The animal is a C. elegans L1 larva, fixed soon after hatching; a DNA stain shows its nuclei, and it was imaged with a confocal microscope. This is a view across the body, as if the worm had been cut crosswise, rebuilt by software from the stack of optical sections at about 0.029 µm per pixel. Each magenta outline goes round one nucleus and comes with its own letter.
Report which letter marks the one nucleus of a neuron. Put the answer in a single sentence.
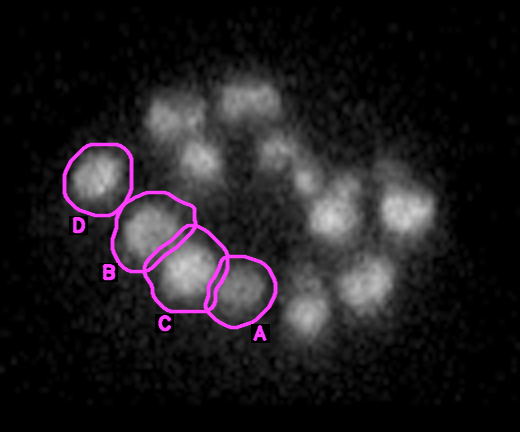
Of the marked nuclei, C is the one in a neuron.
